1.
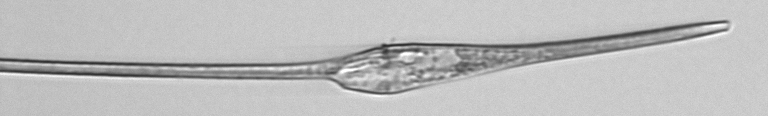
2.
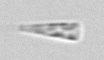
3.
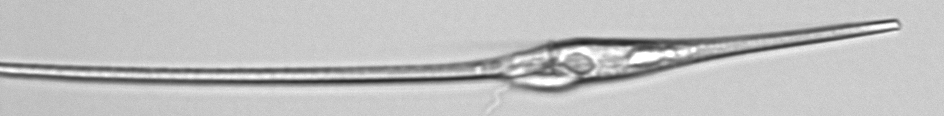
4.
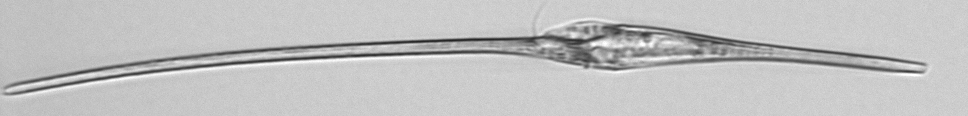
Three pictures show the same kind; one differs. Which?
Picture 2: Licmophora, while the others are Tripos.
